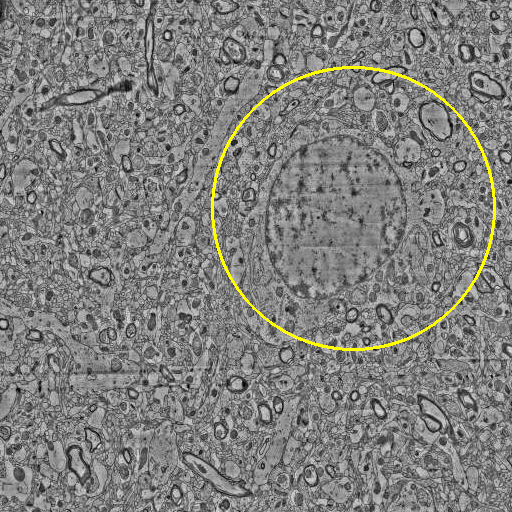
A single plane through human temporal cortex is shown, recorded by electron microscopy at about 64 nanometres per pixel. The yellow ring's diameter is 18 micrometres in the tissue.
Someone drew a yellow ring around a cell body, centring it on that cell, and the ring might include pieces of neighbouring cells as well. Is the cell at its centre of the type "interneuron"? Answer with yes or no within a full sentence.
Yes, within the picture, the cell the ring is centred on qualifies as that type.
